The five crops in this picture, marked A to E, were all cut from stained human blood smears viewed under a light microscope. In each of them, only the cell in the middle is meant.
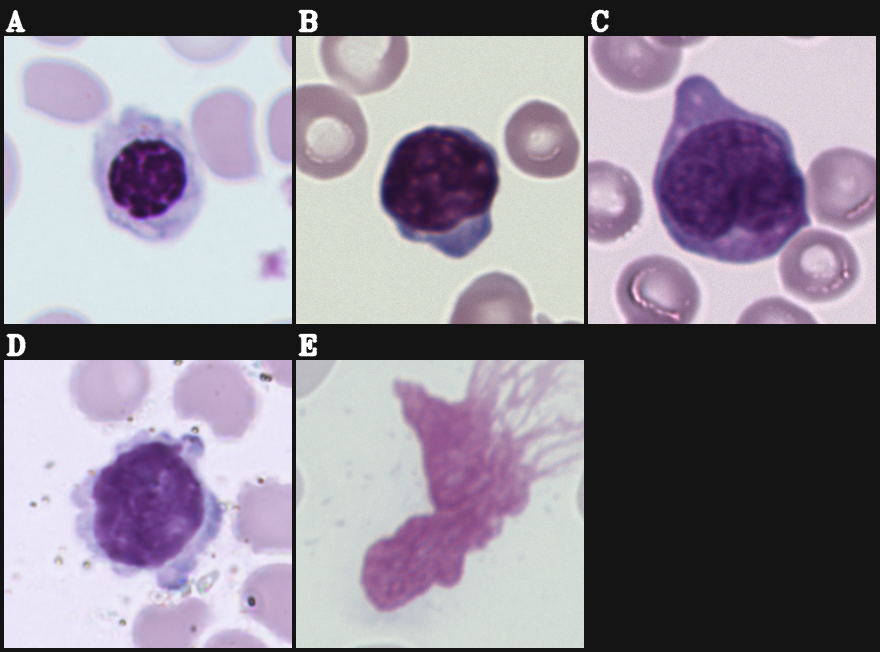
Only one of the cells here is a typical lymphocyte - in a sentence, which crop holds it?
Here the crop that shows a typical lymphocyte is crop B.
